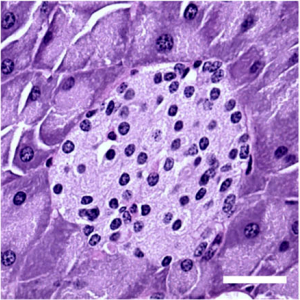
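This is pancreas, with a round islet of endocrine cells in the centre surrounded by exocrine tissue. The islet cells have pale, lightly purple cytoplasm and small, round, dark nuclei set closely together in a compact, sharply bounded cluster. The surrounding cells are larger, with more granular purple cytoplasm and round nuclei with visible nucleoli.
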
